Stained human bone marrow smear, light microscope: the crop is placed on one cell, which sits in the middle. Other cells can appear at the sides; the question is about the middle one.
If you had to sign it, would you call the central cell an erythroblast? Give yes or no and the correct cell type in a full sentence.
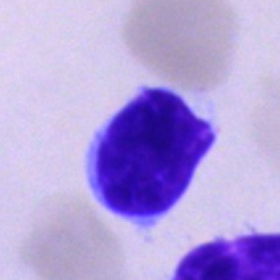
No, the cell in the centre is to be called a lymphocyte instead of an erythroblast.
